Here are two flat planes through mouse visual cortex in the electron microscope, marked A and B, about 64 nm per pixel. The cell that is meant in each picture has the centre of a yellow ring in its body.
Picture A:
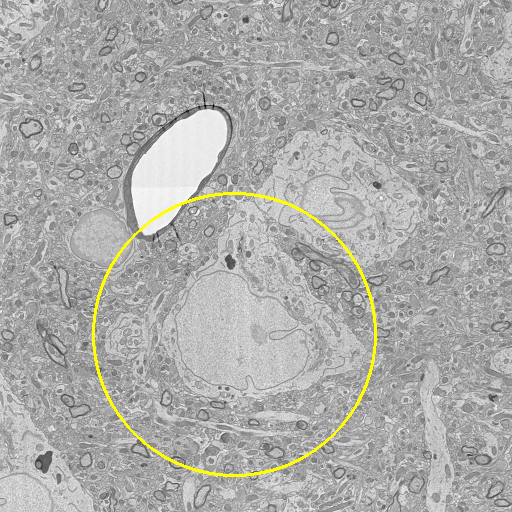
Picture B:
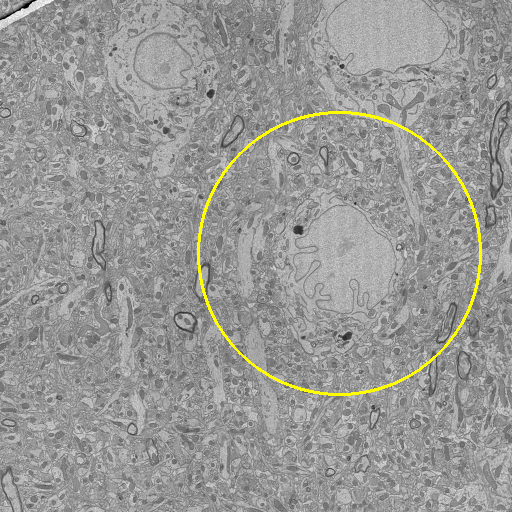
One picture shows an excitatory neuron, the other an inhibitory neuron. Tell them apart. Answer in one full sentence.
Picture A is of an excitatory neuron, and picture B is of an inhibitory neuron.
